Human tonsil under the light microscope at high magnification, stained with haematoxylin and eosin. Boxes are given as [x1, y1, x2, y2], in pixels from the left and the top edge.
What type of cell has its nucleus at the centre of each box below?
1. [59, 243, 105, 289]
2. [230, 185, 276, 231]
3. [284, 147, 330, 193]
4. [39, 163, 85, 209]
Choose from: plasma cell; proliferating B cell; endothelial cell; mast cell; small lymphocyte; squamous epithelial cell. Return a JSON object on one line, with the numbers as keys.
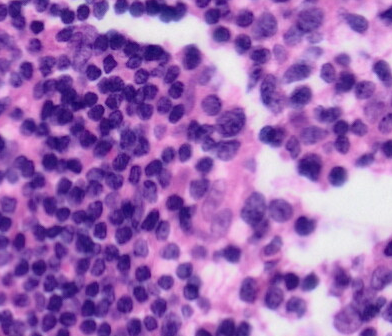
{"1": "small lymphocyte", "2": "proliferating B cell", "3": "proliferating B cell", "4": "small lymphocyte"}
